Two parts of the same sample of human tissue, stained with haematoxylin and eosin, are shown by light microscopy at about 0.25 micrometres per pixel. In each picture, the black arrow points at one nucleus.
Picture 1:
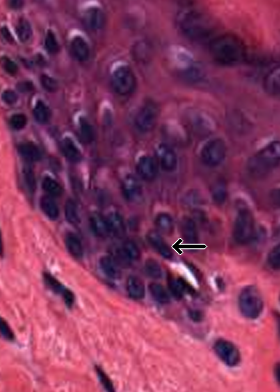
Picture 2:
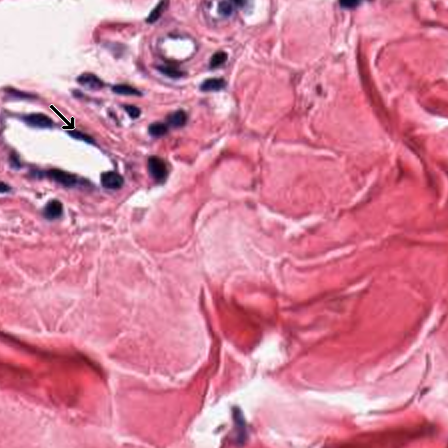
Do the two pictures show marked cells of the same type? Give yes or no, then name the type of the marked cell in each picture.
No, the first is a keratinocyte and the second an endothelial cell.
